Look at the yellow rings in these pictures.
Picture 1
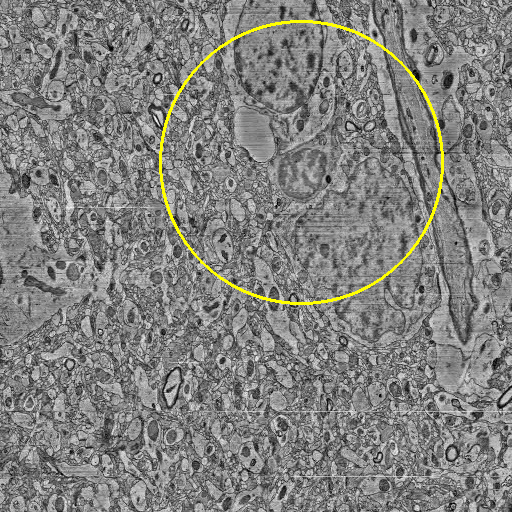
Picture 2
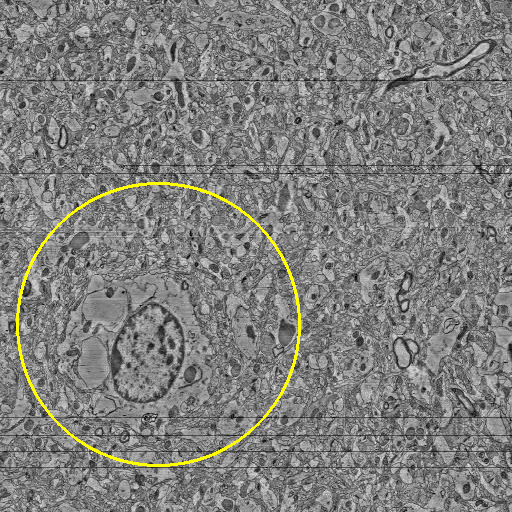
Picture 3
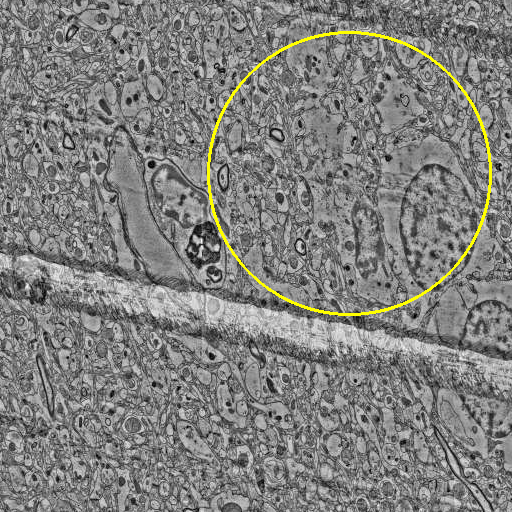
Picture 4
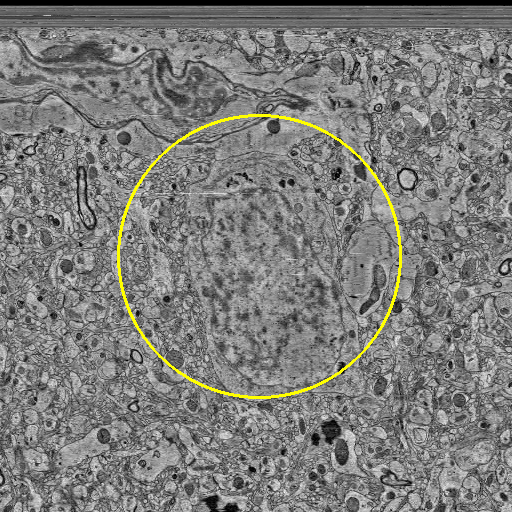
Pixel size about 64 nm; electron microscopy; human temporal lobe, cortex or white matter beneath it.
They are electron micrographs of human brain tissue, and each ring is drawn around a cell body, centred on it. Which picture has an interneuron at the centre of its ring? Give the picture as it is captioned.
Picture 4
